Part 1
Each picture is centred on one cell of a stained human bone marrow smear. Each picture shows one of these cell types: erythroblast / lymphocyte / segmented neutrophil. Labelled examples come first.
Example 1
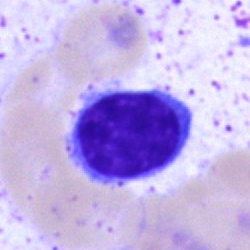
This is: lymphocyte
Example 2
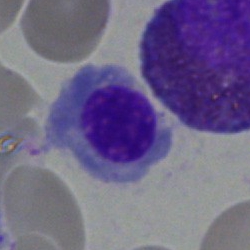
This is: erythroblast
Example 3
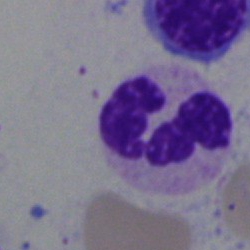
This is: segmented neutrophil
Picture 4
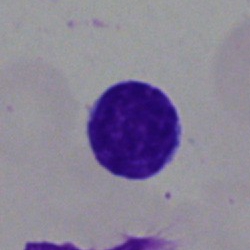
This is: lymphocyte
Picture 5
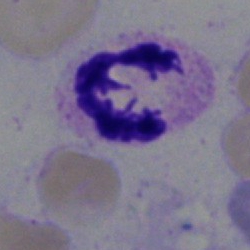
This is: segmented neutrophil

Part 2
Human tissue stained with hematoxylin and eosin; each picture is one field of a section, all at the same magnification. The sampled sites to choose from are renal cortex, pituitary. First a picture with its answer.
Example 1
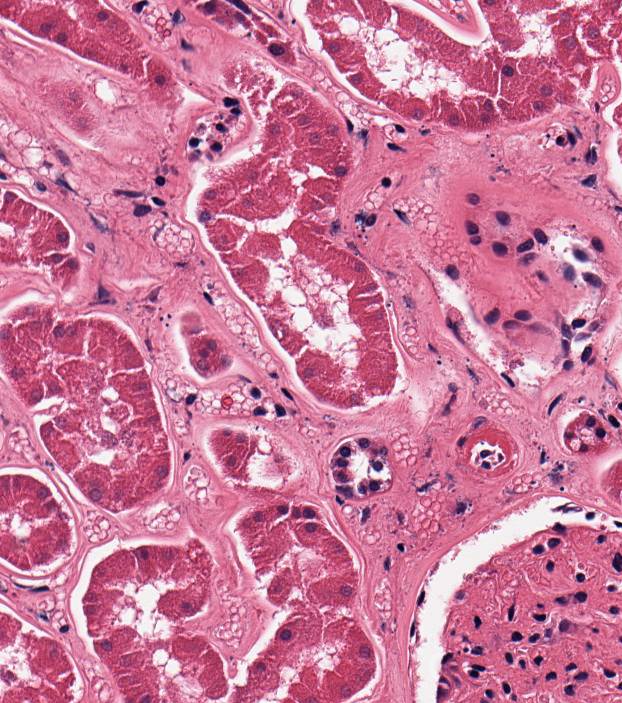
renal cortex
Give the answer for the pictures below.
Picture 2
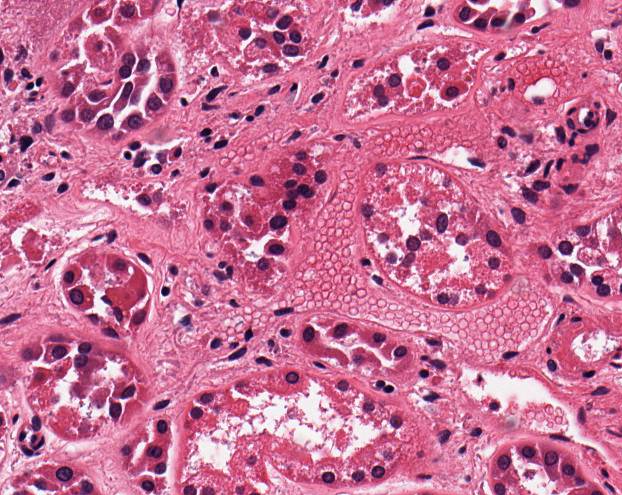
renal cortex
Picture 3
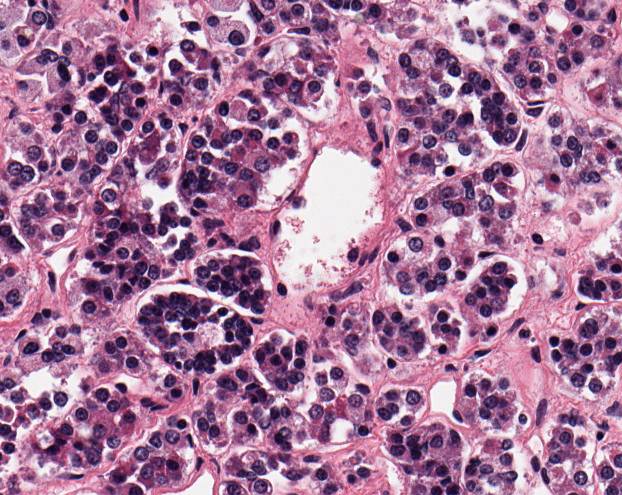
pituitary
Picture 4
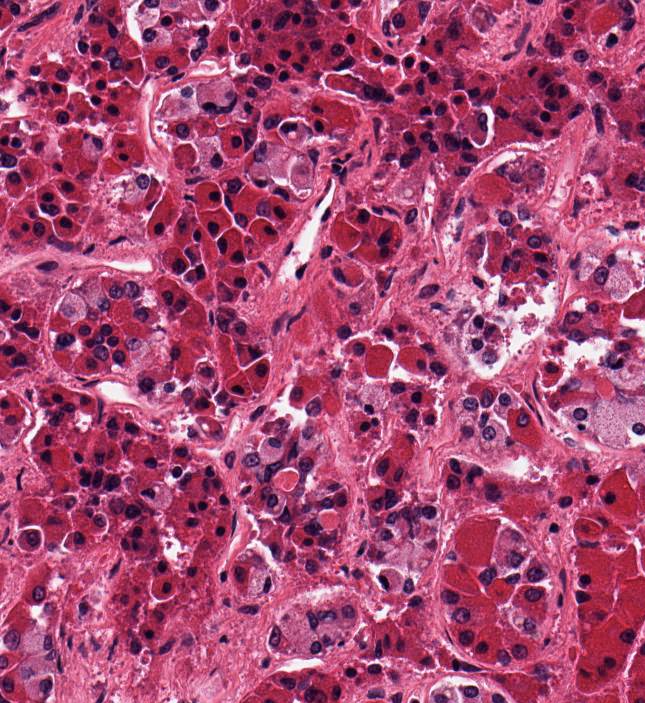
pituitary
